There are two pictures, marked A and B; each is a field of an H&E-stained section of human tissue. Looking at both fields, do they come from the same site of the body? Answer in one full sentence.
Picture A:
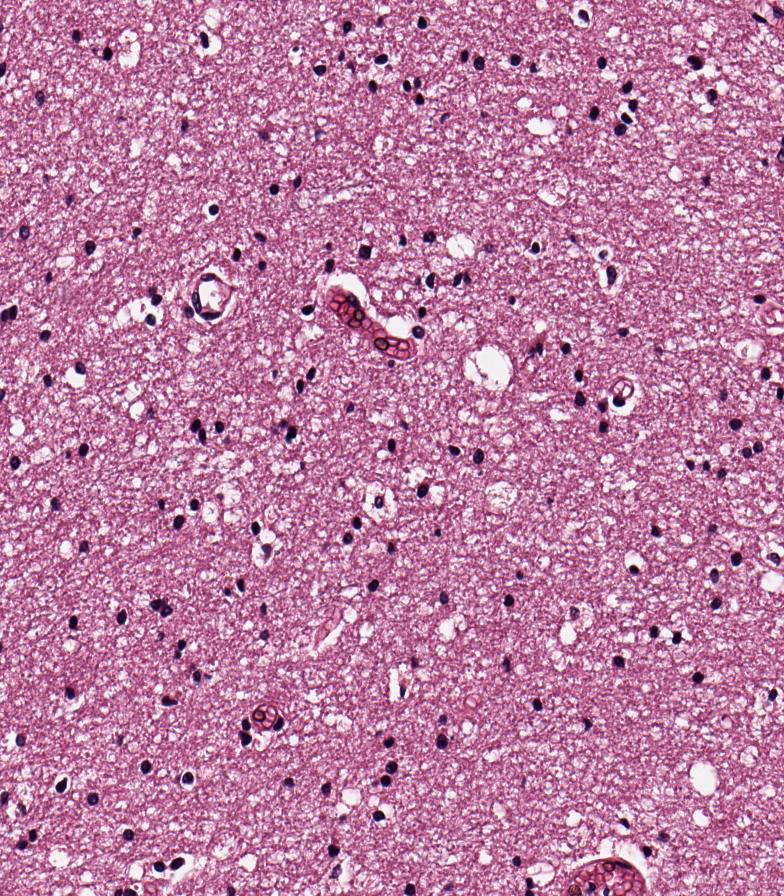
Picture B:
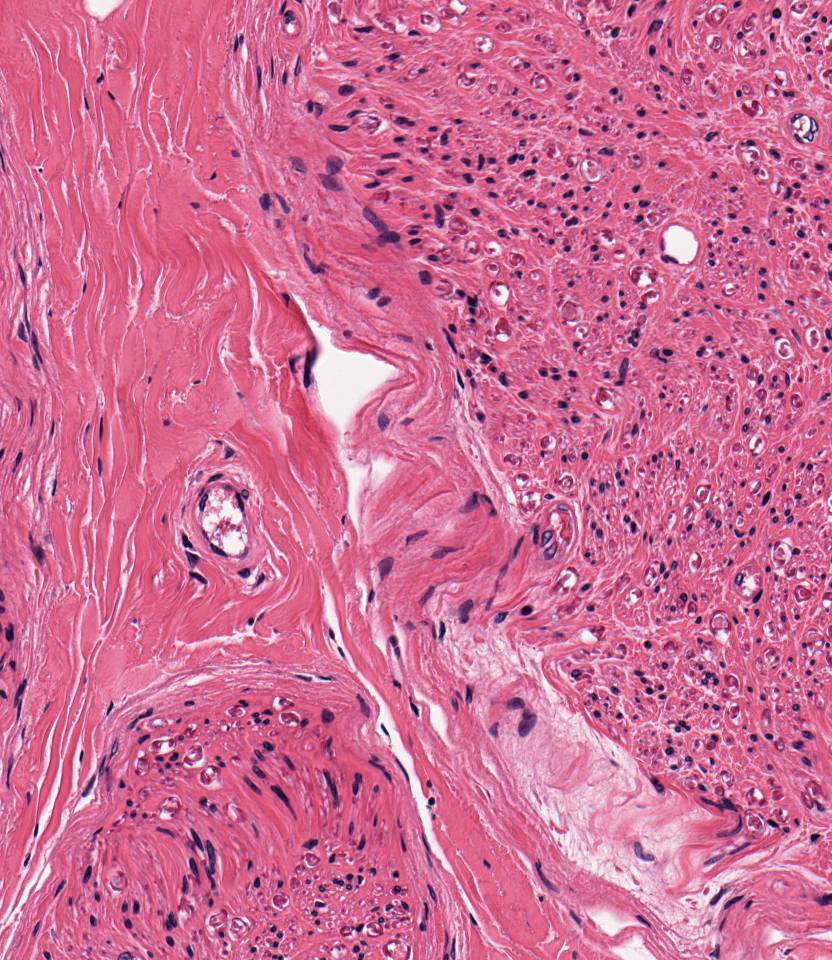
No, picture A comes from the cerebral cortex and picture B comes from the tibial nerve.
